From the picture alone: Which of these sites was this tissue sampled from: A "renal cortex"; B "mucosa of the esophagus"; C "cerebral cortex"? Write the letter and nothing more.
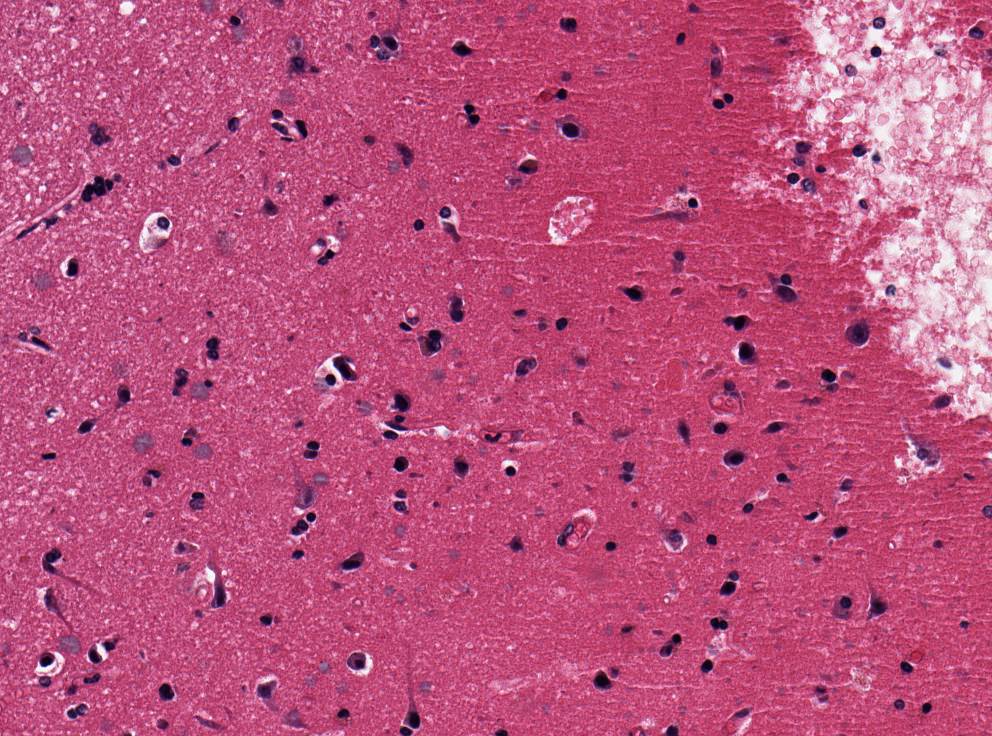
C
